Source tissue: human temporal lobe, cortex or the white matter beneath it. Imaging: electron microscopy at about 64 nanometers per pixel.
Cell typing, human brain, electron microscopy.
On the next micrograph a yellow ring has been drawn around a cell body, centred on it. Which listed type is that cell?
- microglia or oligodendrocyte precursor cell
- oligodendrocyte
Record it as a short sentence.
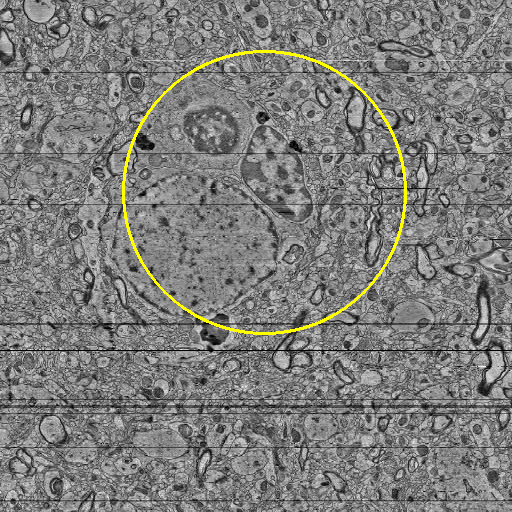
The cell body in the ring's centre belongs to a microglial cell or oligodendrocyte precursor cell.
